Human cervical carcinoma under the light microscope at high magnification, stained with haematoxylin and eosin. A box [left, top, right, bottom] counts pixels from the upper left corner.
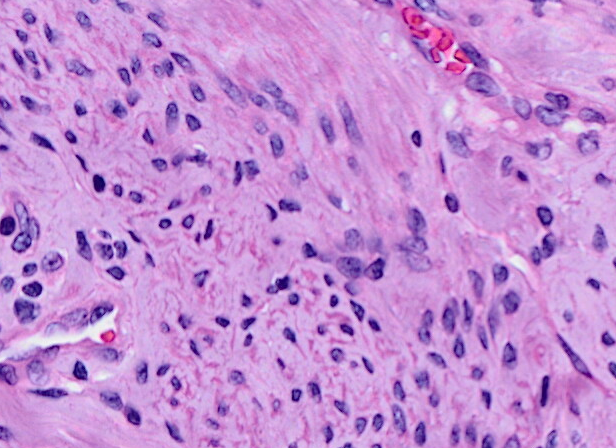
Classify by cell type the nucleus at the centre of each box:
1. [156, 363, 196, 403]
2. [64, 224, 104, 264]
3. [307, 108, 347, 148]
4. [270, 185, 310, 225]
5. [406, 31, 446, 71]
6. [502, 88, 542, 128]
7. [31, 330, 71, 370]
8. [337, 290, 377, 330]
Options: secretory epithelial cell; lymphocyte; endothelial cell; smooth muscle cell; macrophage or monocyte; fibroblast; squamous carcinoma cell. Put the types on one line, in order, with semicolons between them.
smooth muscle cell; fibroblast; smooth muscle cell; fibroblast; endothelial cell; endothelial cell; endothelial cell; fibroblast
